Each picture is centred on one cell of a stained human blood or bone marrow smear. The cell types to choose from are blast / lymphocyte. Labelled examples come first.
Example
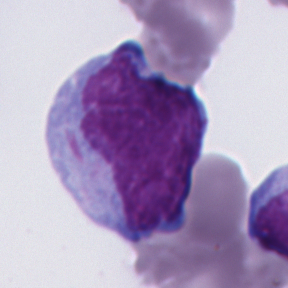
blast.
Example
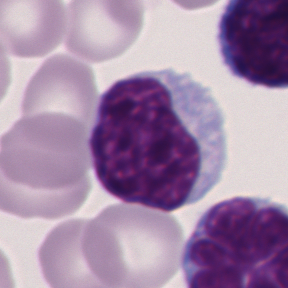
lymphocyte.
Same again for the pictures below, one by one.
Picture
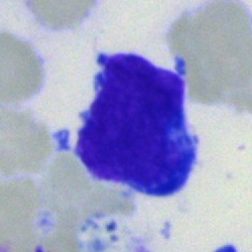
blast.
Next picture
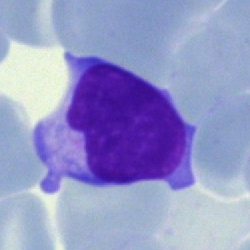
lymphocyte.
